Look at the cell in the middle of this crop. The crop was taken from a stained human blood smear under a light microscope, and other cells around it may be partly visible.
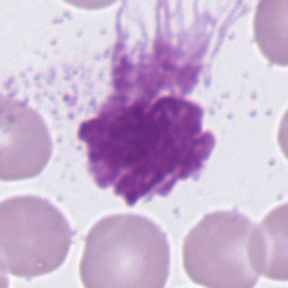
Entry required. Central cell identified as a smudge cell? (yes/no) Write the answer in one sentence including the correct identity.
Yes, centred in the crop is a smudge cell.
